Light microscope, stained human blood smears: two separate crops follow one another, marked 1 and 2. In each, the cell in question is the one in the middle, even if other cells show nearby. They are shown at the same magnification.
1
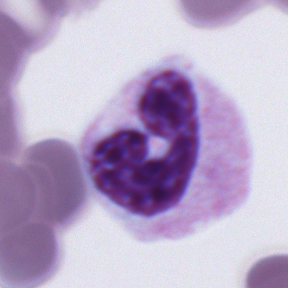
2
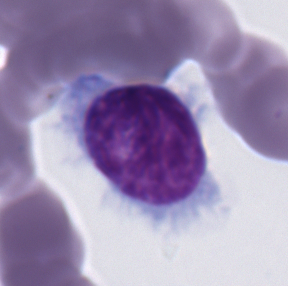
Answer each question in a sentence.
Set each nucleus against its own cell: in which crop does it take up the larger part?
The nucleus fills more of the cell in crop 2 than in crop 1.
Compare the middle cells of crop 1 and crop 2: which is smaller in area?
Crop 2 holds the smaller cell, since the cell in crop 1 covers about 1.5 times as much area.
